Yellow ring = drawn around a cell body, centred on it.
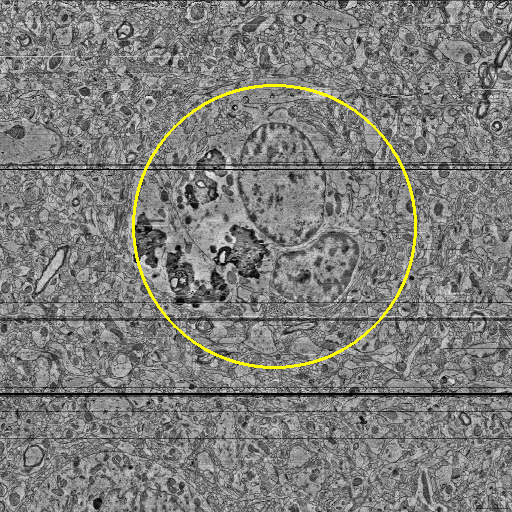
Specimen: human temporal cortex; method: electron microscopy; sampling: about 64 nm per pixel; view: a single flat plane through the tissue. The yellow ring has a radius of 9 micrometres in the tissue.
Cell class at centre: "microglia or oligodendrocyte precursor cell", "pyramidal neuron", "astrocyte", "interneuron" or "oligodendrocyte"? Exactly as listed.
astrocyte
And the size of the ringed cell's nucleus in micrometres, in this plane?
The ringed cell's nucleus is about 8 micrometres long and 6 micrometres wide in this plane.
